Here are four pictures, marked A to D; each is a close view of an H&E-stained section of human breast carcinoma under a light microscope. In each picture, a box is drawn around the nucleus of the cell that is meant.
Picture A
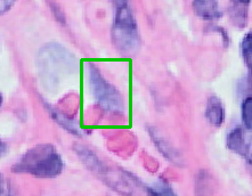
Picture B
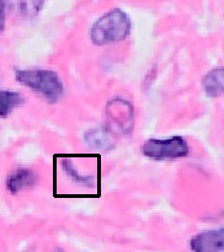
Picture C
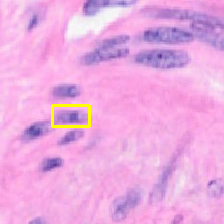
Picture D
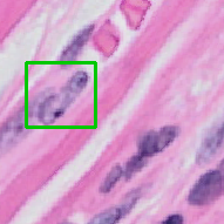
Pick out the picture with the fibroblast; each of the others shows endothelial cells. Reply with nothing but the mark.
B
